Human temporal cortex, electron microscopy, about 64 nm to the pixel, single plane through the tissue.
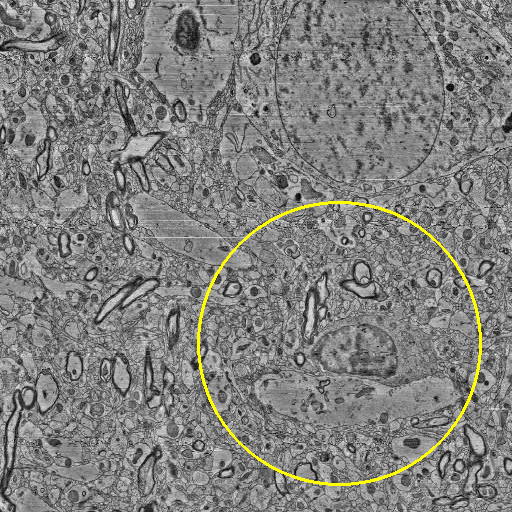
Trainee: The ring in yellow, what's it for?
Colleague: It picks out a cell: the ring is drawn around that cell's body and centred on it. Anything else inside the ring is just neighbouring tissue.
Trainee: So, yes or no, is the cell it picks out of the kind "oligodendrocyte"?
yes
